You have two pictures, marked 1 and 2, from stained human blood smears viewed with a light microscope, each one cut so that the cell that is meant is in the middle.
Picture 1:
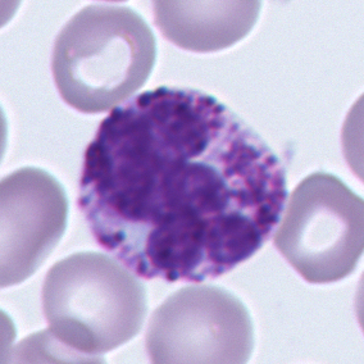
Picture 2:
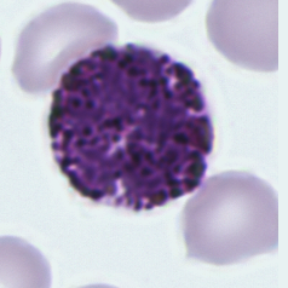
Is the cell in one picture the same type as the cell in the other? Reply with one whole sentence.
Yes, both cells are basophils.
